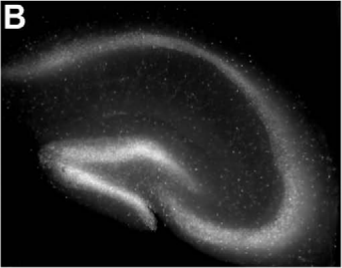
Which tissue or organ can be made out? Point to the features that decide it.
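A curved C-shaped band of bright fluorescence. A second, interlocking bright V-shaped band at the inner end of the curve.
Hence: hippocampal slices.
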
